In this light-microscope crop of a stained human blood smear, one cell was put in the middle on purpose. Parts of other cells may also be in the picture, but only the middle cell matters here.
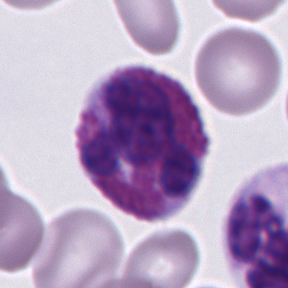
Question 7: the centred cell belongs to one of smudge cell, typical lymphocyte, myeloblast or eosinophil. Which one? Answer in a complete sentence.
On this slide crop, the central cell is an eosinophil.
